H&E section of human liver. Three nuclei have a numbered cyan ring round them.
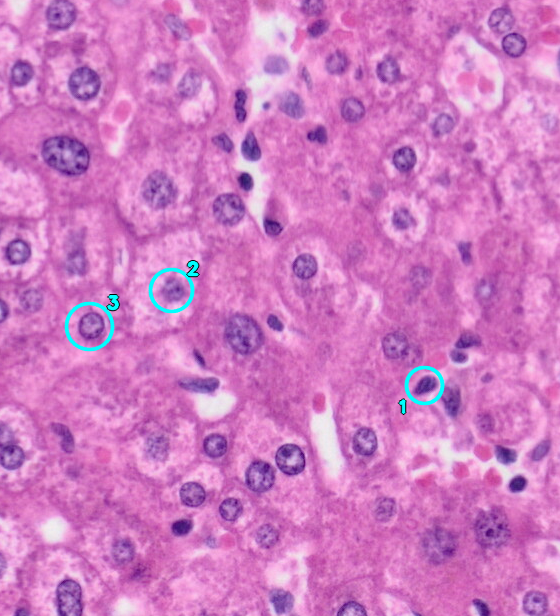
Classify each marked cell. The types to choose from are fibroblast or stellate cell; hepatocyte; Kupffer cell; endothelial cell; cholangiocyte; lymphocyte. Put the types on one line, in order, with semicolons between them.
lymphocyte; hepatocyte; hepatocyte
